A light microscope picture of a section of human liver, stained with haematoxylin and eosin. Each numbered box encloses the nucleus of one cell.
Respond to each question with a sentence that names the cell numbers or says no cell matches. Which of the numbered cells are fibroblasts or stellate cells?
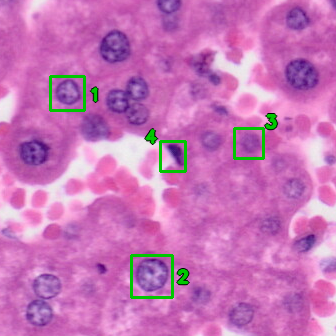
Among the numbered cells, cell 4 alone is a fibroblast or stellate cell.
